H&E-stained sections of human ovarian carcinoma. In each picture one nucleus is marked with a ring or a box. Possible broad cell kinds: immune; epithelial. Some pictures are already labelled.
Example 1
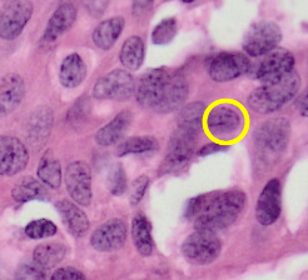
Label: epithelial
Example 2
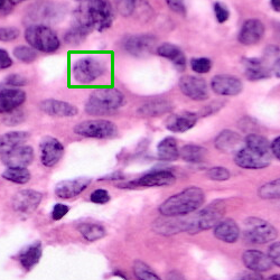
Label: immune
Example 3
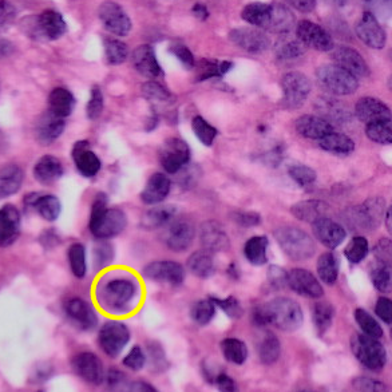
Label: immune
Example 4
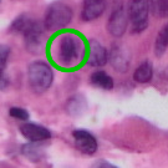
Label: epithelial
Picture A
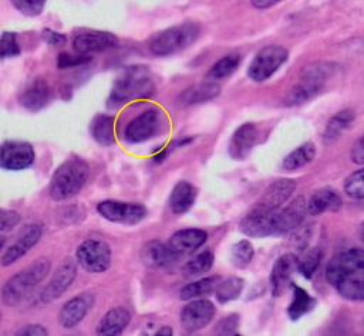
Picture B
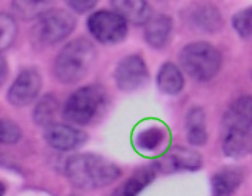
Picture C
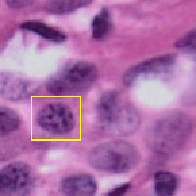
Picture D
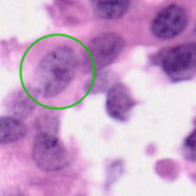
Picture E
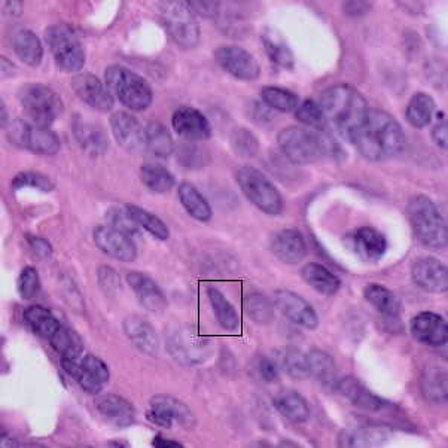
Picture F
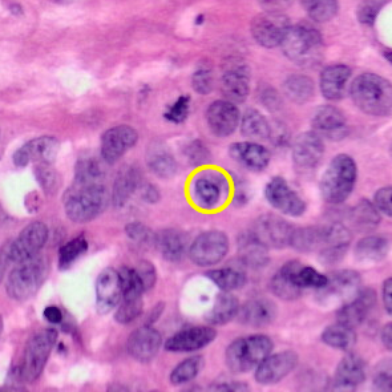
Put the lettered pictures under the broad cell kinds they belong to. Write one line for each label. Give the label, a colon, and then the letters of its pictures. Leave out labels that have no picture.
immune: C, F
epithelial: A, B, D, E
